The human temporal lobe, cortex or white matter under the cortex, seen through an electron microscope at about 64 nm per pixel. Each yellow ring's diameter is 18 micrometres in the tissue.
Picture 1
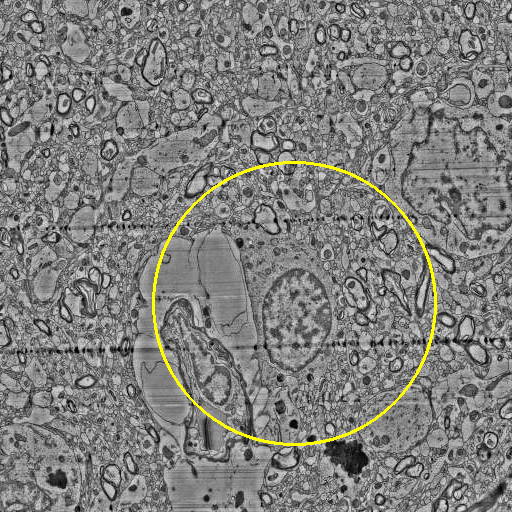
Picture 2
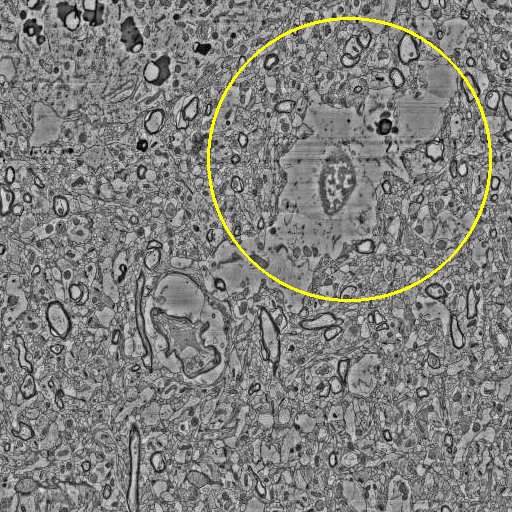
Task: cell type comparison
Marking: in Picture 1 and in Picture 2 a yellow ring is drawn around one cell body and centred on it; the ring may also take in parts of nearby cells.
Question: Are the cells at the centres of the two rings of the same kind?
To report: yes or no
no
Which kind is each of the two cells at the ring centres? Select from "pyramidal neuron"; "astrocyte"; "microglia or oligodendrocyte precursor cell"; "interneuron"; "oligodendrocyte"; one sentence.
The cell at the centre of the ring is an oligodendrocyte in the first picture and an astrocyte in the second.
